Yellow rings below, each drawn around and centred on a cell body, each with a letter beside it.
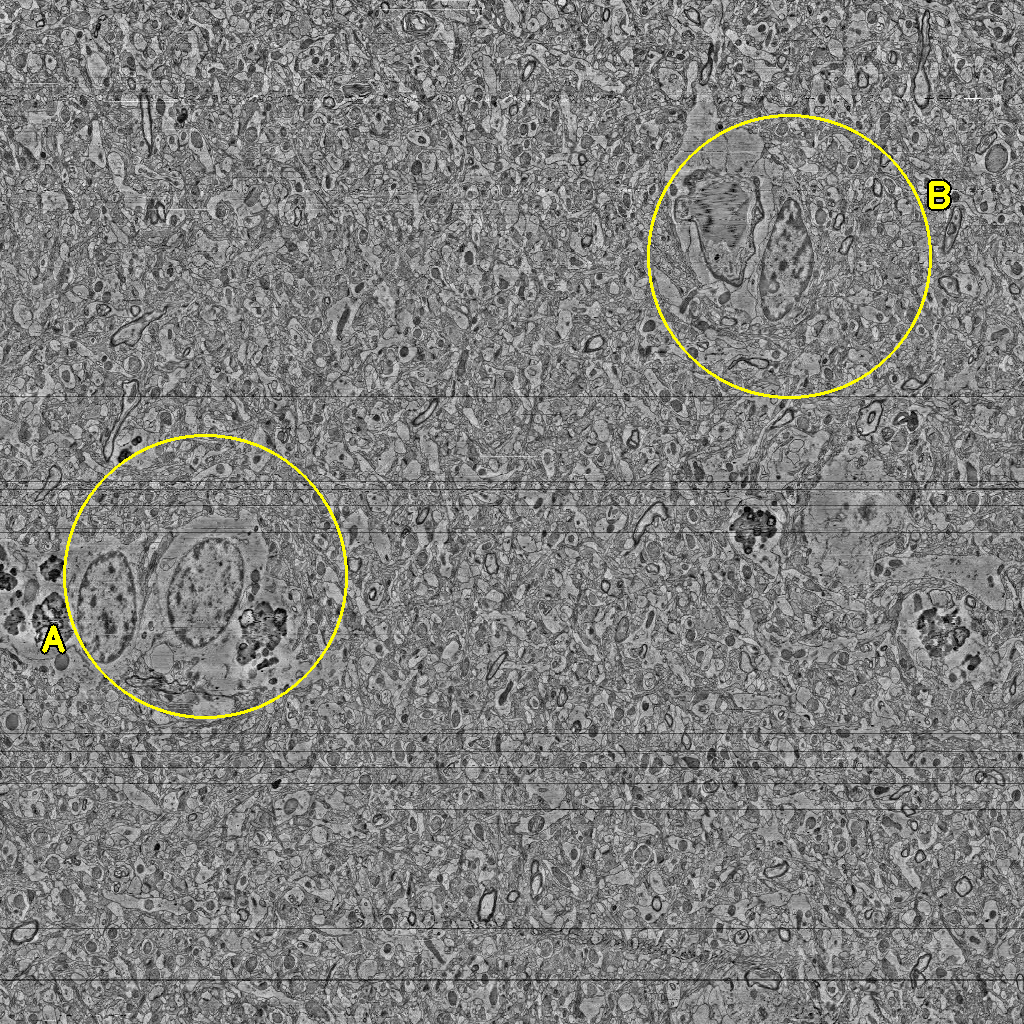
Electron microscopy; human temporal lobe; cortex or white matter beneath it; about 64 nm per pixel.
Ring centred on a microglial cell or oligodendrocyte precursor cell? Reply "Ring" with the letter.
Ring B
